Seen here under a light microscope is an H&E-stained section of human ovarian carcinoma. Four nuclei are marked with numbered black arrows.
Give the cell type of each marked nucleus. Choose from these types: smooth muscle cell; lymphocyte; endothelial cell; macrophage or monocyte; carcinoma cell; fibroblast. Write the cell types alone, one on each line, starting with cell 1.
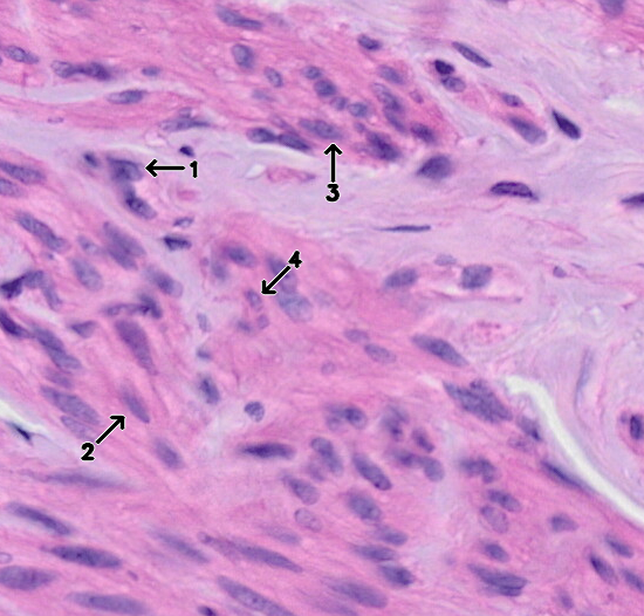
endothelial cell
smooth muscle cell
smooth muscle cell
smooth muscle cell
